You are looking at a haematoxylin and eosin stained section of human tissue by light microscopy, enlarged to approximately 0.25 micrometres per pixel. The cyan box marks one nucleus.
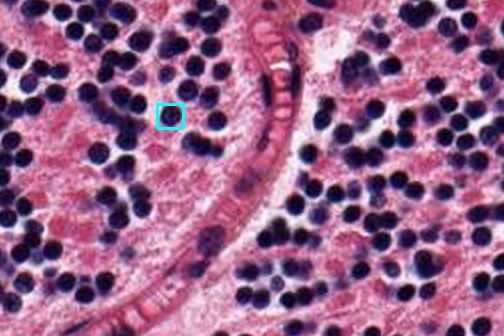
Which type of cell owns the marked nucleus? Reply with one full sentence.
Singled out by the mark is the nucleus of a cerebellar granule cell.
